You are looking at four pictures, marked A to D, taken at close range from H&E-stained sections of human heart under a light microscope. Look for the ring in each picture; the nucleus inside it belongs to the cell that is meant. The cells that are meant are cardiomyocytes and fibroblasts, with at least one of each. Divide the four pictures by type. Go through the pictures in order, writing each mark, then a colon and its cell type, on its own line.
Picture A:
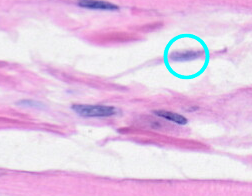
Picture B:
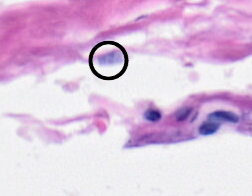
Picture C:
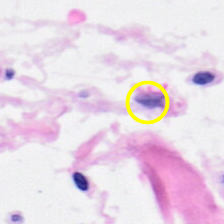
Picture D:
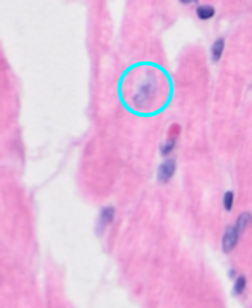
A: fibroblast
B: fibroblast
C: fibroblast
D: cardiomyocyte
